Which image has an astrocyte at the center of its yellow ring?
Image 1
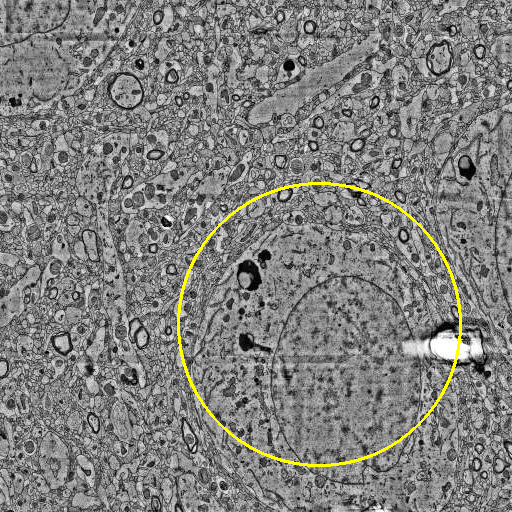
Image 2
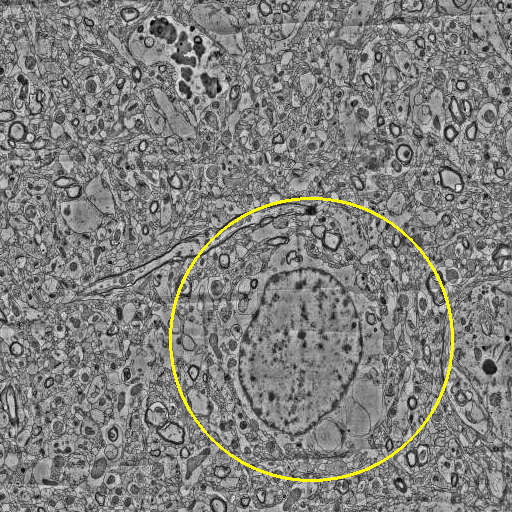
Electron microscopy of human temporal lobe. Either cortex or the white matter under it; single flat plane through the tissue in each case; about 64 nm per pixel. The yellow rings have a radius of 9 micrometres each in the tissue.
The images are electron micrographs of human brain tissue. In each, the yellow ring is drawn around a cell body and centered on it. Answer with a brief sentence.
It is at the center of the ring in Image 2.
